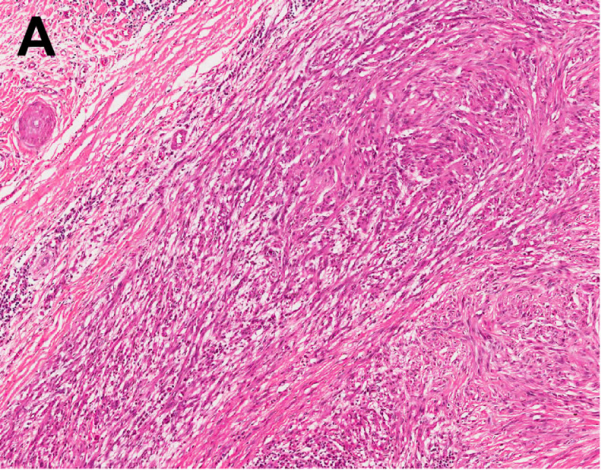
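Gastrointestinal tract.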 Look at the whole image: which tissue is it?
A: schwannomas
